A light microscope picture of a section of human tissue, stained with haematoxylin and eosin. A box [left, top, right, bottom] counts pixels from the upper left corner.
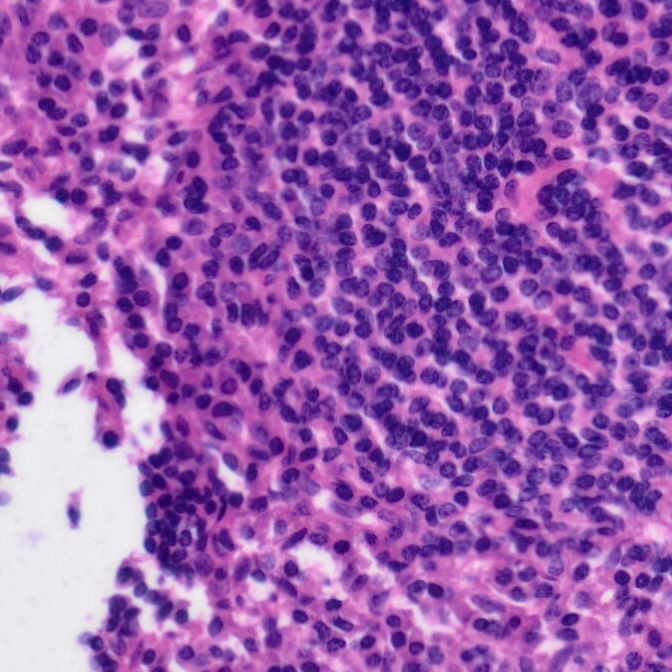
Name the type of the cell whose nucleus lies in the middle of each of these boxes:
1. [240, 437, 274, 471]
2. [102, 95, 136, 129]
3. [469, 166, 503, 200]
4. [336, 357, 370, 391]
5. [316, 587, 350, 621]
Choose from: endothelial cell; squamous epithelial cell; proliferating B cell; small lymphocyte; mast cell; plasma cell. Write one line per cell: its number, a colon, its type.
1: endothelial cell
2: plasma cell
3: small lymphocyte
4: small lymphocyte
5: plasma cell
